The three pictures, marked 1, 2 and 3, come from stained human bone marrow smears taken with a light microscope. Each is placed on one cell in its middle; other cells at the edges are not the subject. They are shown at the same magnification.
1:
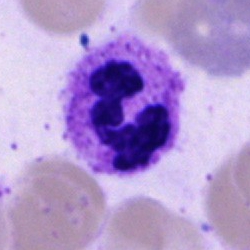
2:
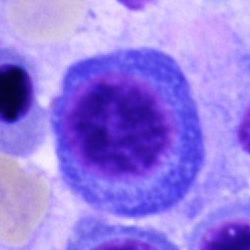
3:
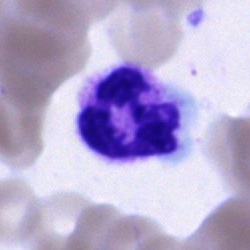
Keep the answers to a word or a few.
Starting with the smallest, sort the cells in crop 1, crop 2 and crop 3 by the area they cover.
3, 1, 2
